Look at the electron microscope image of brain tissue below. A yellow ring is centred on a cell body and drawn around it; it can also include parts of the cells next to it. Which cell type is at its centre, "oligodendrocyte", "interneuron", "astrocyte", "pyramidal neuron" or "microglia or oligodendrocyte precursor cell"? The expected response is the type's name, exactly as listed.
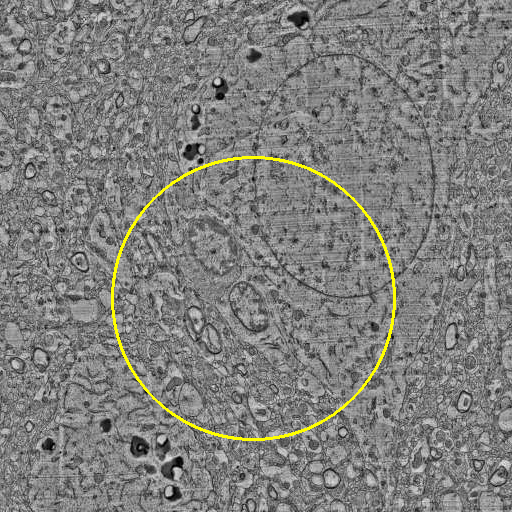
microglia or oligodendrocyte precursor cell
